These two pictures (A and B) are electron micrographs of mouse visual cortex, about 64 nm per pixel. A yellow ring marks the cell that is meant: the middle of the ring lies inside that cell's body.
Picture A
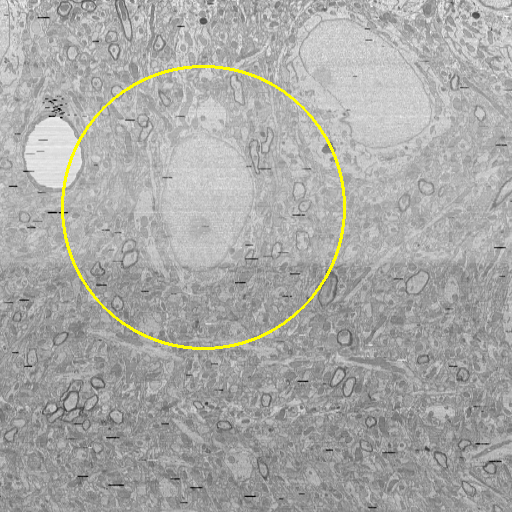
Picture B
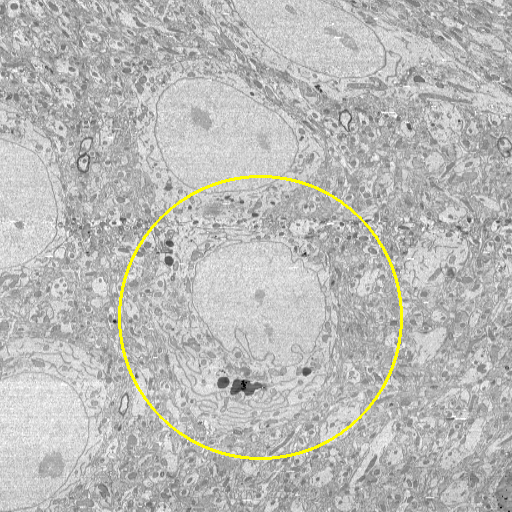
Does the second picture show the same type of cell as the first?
No, the types are not the same, since picture A shows an astrocyte and picture B an inhibitory neuron.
